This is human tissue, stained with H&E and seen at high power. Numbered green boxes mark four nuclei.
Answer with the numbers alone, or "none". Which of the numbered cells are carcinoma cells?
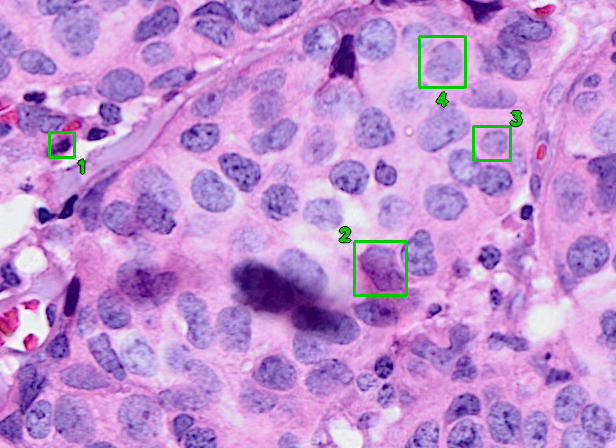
2, 3, 4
